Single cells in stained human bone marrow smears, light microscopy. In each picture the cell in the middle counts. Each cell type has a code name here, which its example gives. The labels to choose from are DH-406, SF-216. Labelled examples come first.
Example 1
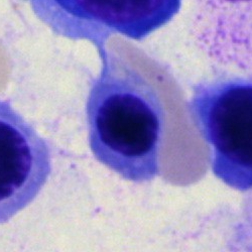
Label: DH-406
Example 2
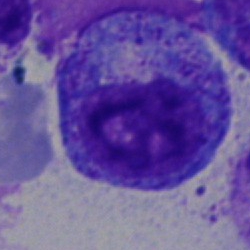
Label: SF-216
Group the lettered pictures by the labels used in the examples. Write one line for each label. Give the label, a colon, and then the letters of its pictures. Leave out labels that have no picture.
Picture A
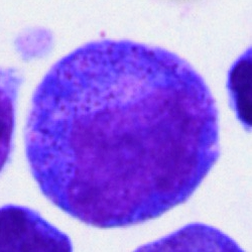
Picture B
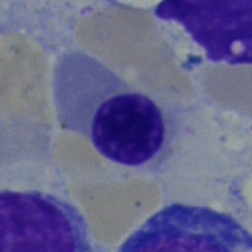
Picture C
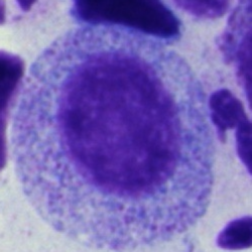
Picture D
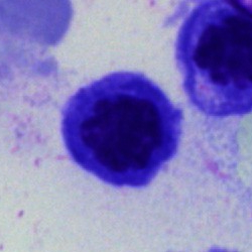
DH-406: B, D
SF-216: A, C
